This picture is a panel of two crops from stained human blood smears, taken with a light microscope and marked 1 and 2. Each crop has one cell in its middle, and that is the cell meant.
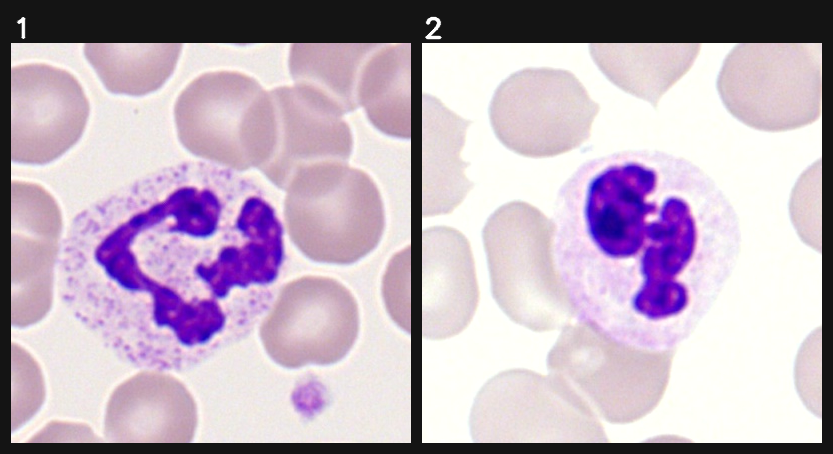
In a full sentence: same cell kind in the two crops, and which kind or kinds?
Yes, segmented neutrophils are what the two crops show.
